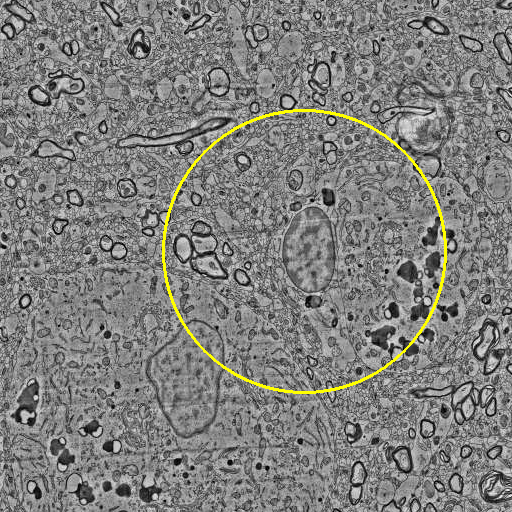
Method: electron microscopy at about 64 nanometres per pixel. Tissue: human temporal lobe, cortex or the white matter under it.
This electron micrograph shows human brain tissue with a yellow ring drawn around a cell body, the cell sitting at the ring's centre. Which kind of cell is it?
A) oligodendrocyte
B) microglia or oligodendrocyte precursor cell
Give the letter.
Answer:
B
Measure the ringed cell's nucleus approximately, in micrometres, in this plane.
In this plane, approximately 5 by 3 micrometers, and clearly longer than it is wide.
